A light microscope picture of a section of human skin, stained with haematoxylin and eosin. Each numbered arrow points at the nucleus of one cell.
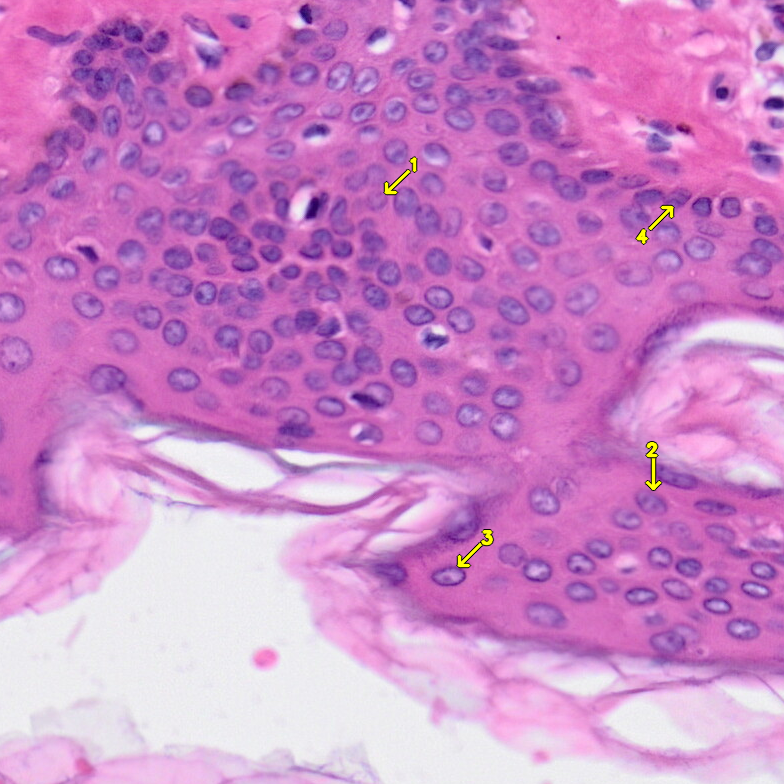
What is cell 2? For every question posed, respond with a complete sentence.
The cell that goes by number 2 is a suprabasal keratinocyte.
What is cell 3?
The cell to which the number 3 is assigned is a suprabasal keratinocyte.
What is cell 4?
Number 4 is placed on a basal keratinocyte here.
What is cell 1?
Recognised here as a suprabasal keratinocyte is the cell numbered 1.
